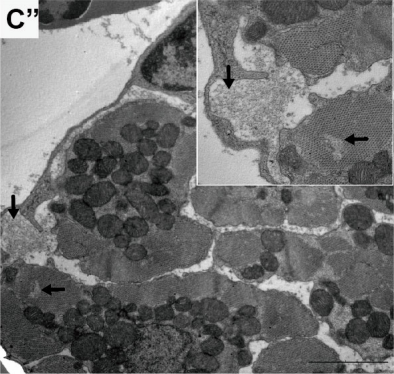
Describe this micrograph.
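The myofibrils appear as fields of fine, closely packed dots, and clusters of round, dark mitochondria lie between them. In places the cytoplasm contains pale, loosely textured areas without this dotted filament pattern. A large, pale space lies at the upper left, outside the cells. The inset shows, at higher magnification, the dotted lattice of cut filaments lying beside such a pale area.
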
